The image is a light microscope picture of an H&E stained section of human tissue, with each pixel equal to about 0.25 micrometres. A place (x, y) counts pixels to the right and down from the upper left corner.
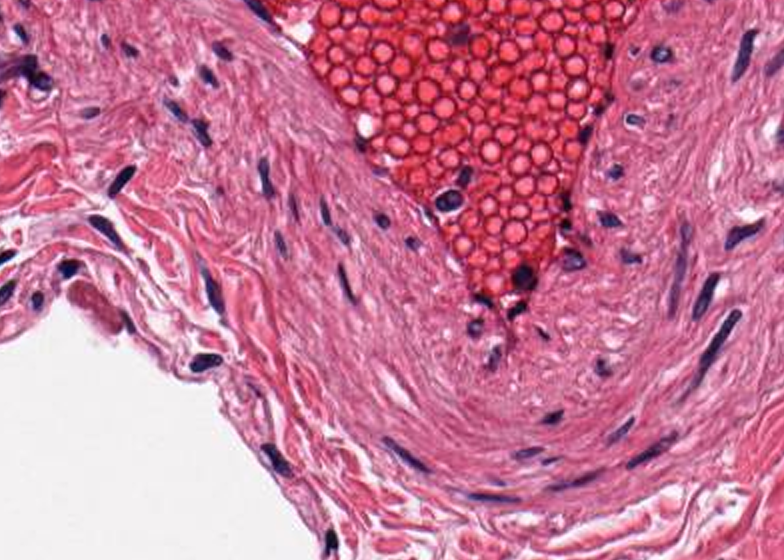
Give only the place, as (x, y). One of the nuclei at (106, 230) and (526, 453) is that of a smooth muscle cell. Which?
(526, 453)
